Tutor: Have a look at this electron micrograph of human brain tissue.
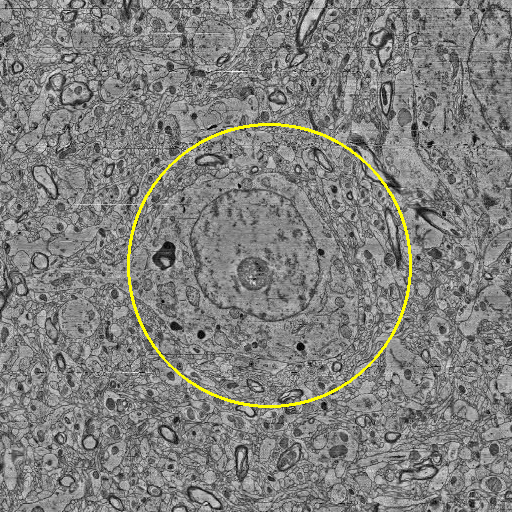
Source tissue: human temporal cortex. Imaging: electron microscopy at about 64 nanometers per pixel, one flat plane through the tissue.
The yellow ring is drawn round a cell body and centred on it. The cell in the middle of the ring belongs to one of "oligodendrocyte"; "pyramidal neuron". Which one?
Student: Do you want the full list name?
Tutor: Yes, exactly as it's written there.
pyramidal neuron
